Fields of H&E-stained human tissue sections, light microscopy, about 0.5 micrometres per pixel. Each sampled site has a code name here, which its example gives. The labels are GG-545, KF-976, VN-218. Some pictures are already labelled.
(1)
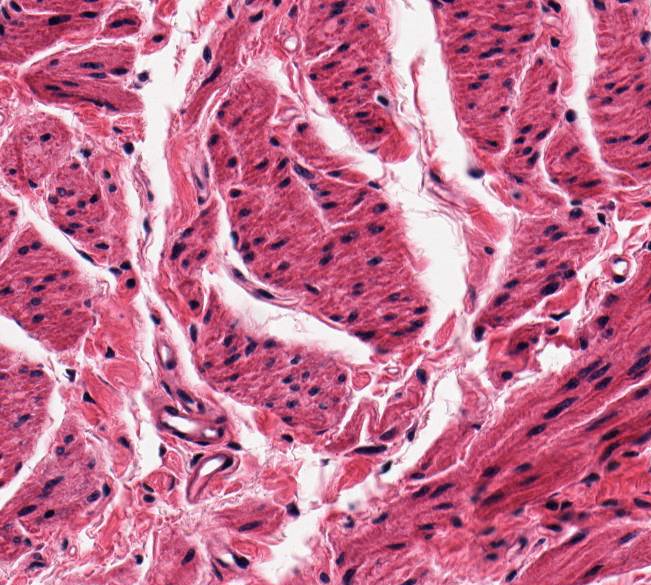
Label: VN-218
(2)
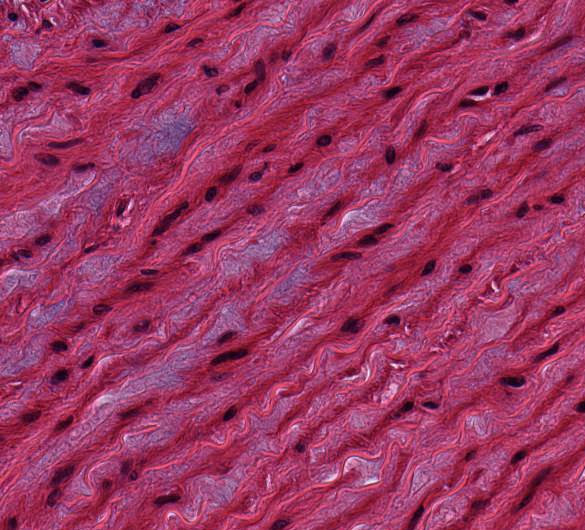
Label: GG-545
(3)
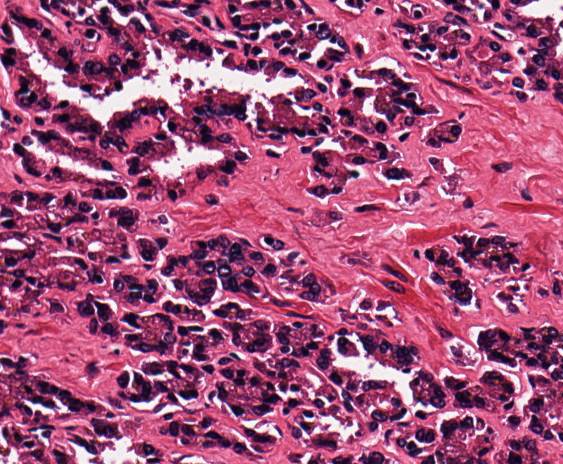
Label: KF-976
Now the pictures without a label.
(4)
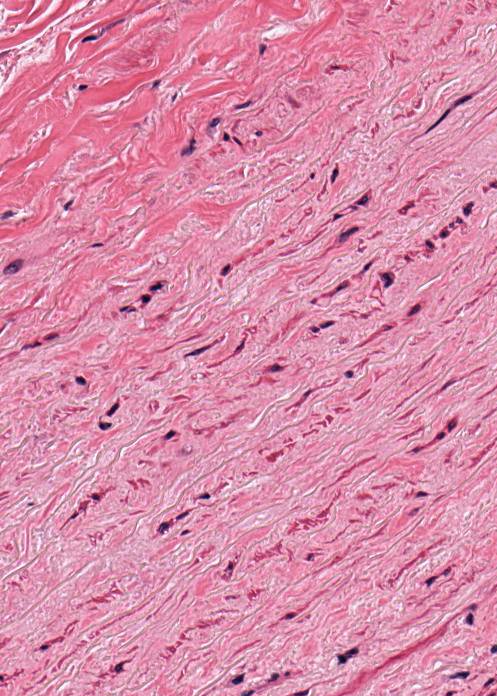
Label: GG-545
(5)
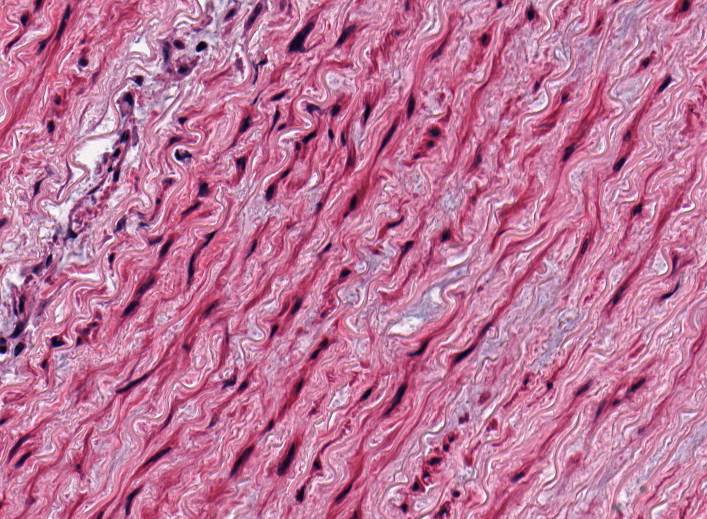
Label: GG-545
